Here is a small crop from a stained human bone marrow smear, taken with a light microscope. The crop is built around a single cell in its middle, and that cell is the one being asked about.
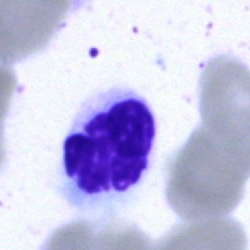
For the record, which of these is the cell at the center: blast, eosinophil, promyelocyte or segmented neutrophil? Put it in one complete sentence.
The cell marked by its central position in the crop is a segmented neutrophil.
